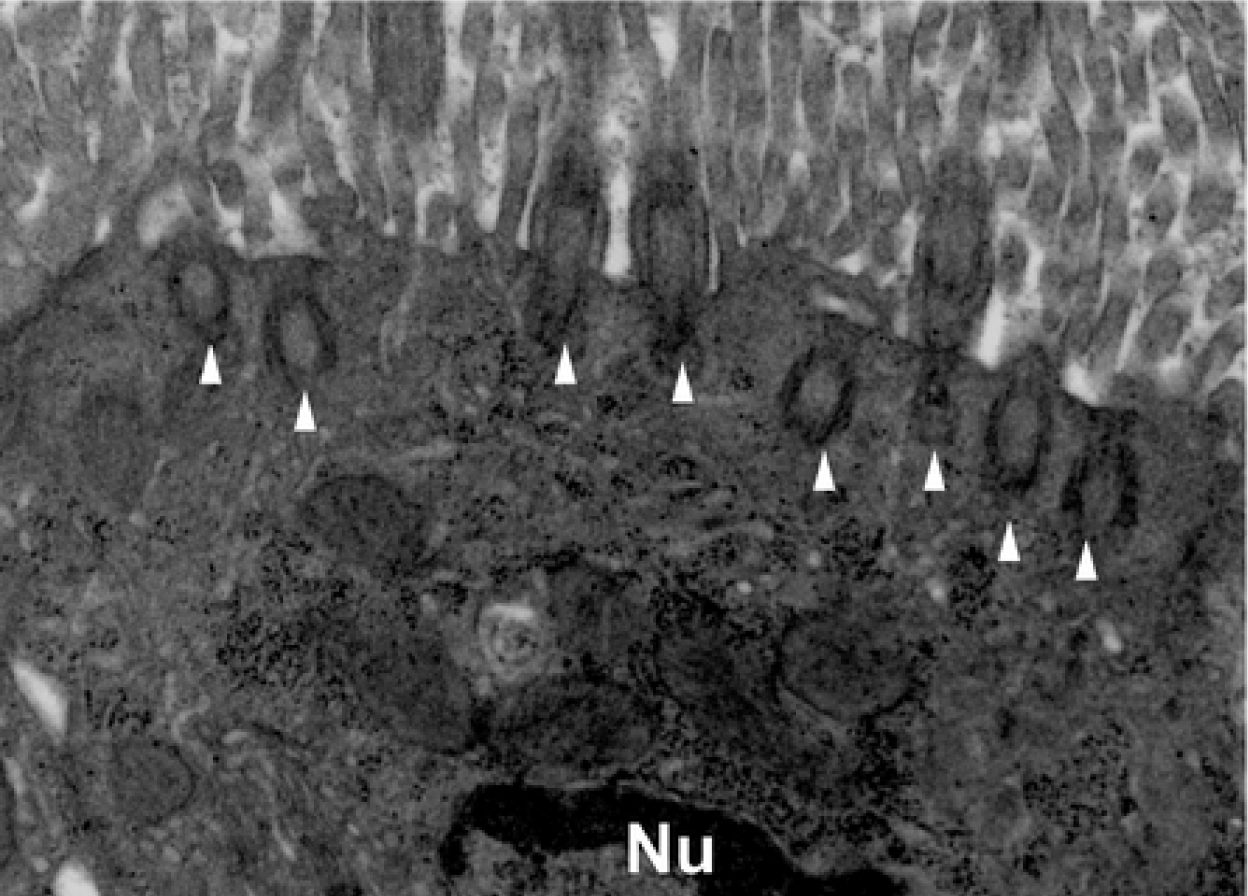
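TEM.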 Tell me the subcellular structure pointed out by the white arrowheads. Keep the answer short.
basal bodies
